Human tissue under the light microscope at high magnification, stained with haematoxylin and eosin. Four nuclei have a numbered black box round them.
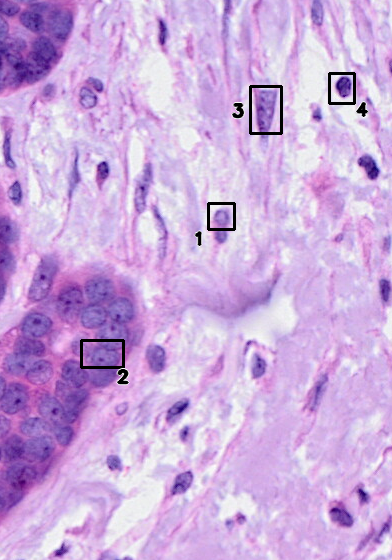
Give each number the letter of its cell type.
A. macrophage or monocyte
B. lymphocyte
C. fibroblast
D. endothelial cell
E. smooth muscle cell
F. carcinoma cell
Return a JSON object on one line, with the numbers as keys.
{"1": "A", "2": "F", "3": "C", "4": "B"}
